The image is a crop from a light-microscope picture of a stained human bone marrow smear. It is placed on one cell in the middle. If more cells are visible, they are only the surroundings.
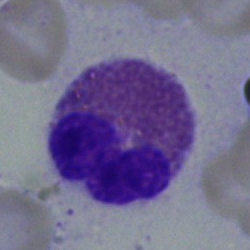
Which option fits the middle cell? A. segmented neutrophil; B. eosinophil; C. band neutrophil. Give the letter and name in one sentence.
At the centre of the crop lies an eosinophil, which makes option B correct.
